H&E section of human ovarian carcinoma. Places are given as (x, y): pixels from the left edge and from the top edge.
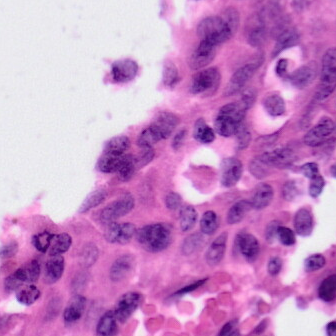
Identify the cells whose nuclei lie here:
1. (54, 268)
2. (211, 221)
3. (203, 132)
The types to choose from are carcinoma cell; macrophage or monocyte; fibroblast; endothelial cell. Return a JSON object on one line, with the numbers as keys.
{"1": "carcinoma cell", "2": "macrophage or monocyte", "3": "macrophage or monocyte"}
